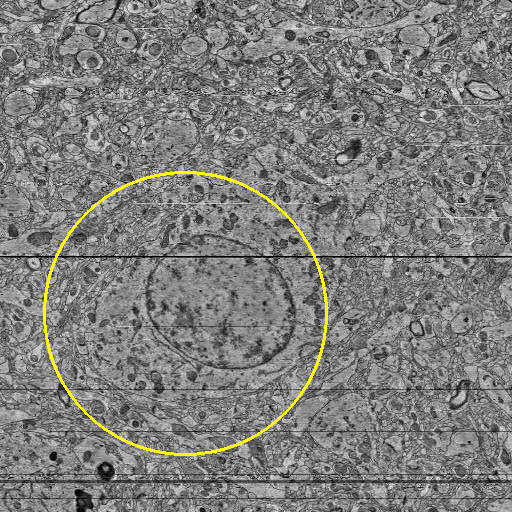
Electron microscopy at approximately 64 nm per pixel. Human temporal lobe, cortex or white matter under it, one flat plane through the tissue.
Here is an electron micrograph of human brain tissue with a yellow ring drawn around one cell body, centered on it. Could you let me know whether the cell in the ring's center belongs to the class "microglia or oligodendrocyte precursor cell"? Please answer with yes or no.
no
